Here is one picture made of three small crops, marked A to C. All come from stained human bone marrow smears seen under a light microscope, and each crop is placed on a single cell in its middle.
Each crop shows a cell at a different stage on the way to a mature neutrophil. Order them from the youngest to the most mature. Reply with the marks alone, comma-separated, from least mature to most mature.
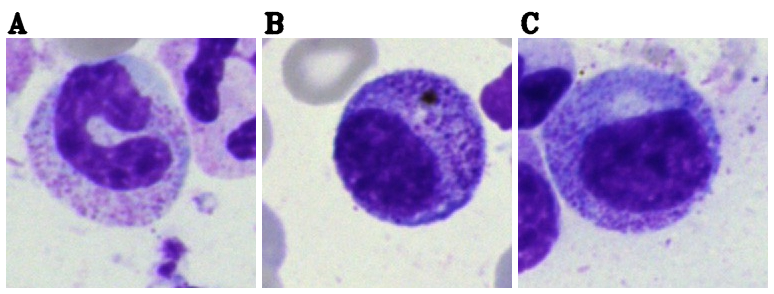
C, B, A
